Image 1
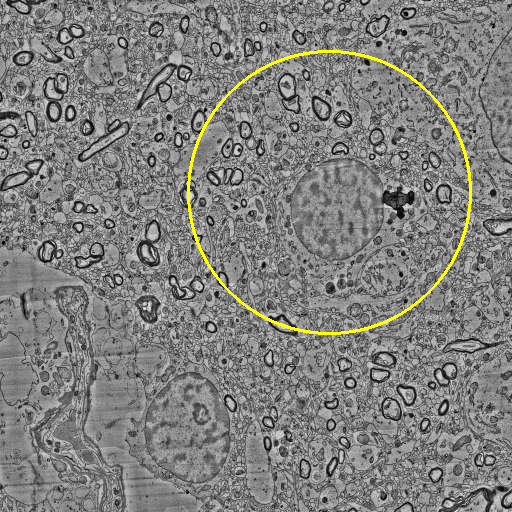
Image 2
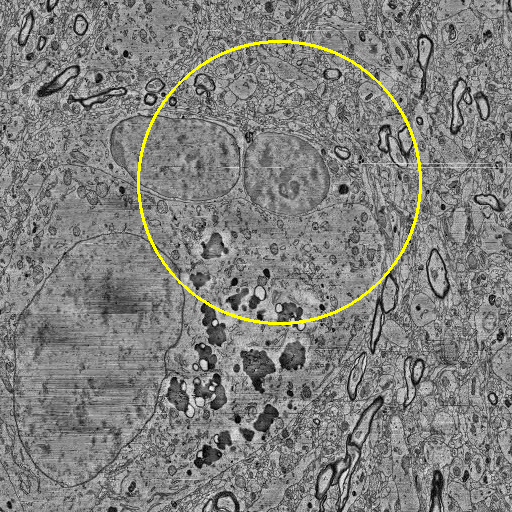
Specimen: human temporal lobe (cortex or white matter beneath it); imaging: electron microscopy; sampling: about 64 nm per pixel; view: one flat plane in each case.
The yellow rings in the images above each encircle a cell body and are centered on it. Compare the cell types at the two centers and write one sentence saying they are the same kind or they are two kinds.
Taken together, the two cells at the ring centers are the same kind.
